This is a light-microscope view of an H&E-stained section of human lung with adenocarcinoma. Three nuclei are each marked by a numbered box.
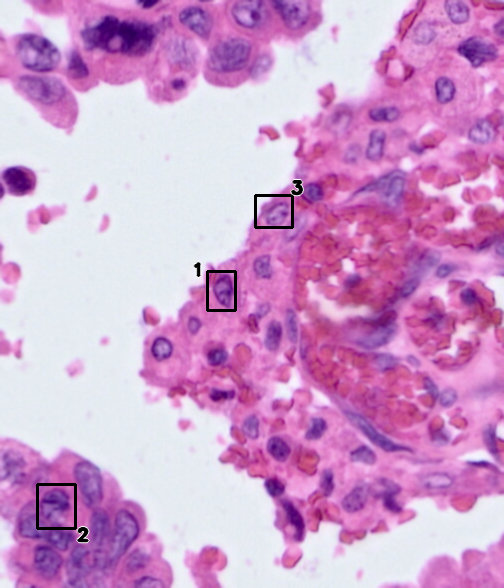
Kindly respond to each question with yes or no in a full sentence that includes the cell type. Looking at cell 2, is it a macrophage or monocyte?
No, the cell under number 2 is a carcinoma cell, not a macrophage or monocyte.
